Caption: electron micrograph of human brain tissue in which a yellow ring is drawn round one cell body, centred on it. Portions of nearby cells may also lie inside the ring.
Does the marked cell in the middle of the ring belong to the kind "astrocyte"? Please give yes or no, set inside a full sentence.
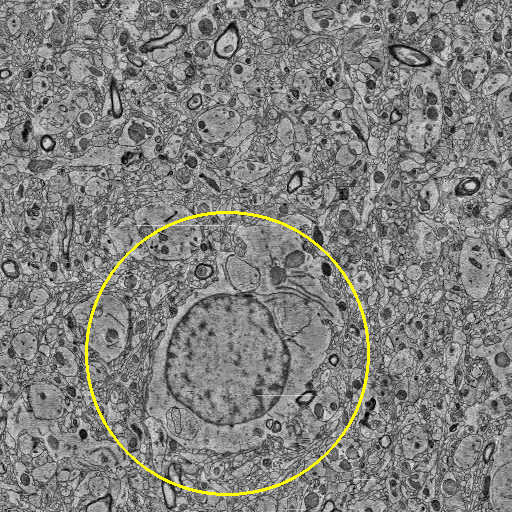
Yes, the marked cell that the ring is centred on in the picture is of that kind.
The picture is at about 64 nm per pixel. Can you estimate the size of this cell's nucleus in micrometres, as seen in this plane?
Approximately 8 micrometers across in this plane.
